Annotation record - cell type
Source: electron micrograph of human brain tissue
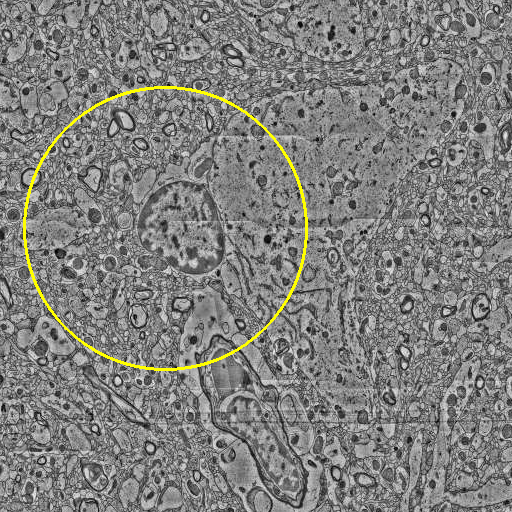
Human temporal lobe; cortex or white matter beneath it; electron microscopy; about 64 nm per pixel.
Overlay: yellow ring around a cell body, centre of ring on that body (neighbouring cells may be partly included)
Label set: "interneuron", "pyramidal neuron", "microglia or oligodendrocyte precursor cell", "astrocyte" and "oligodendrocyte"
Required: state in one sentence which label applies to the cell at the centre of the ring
This cell should be labelled as a microglial cell or oligodendrocyte precursor cell.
